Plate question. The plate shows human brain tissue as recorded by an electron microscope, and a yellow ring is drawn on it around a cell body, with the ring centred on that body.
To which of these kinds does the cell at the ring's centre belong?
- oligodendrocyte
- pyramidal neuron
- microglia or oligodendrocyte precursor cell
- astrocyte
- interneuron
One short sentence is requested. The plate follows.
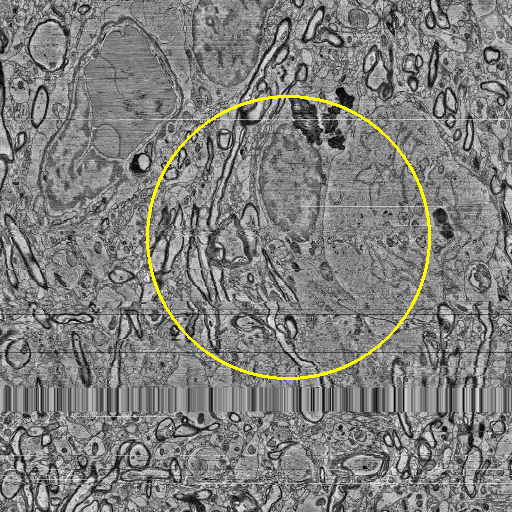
The cell at the ring's centre is an oligodendrocyte.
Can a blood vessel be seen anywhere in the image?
Yes, one is visible.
